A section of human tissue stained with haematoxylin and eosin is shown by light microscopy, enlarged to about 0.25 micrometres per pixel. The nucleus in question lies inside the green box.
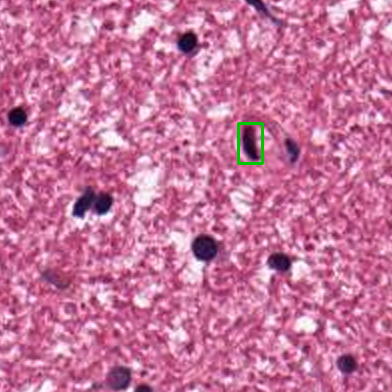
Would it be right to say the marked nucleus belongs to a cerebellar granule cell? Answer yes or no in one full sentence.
No, the marked nucleus is the nucleus of a supporting cell rather than of a cerebellar granule cell.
